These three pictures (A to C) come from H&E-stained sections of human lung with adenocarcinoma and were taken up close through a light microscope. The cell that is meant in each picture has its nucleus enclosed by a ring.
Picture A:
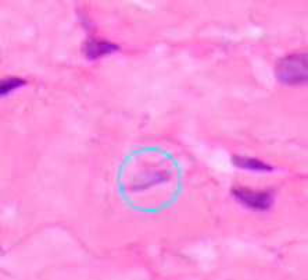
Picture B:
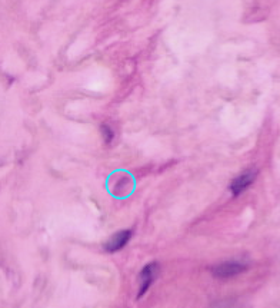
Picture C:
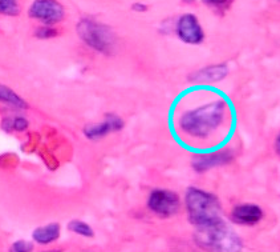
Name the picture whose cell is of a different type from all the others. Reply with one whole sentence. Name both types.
The others show fibroblasts, but picture B shows a “smooth muscle cell or pericyte”.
